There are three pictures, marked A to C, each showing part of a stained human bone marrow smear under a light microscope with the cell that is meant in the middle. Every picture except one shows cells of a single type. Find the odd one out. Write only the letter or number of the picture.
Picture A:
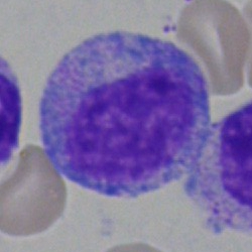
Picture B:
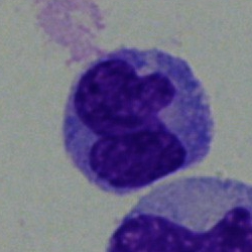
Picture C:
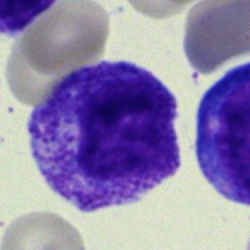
B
